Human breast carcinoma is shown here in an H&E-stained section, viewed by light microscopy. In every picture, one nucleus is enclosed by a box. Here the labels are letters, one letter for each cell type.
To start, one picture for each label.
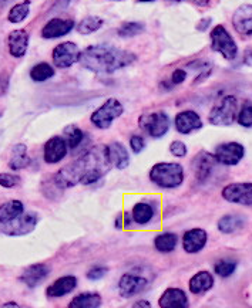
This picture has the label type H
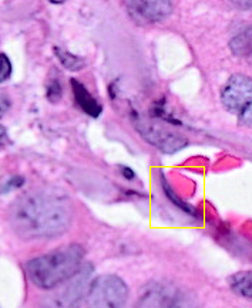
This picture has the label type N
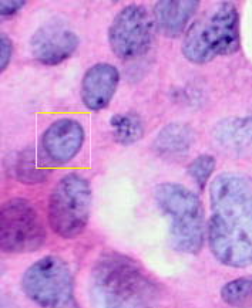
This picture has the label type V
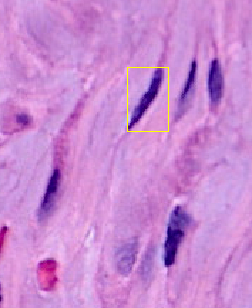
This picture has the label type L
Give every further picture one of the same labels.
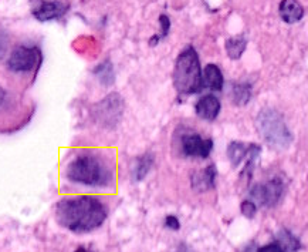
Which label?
type V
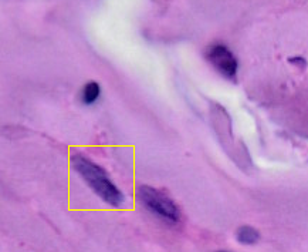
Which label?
type L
